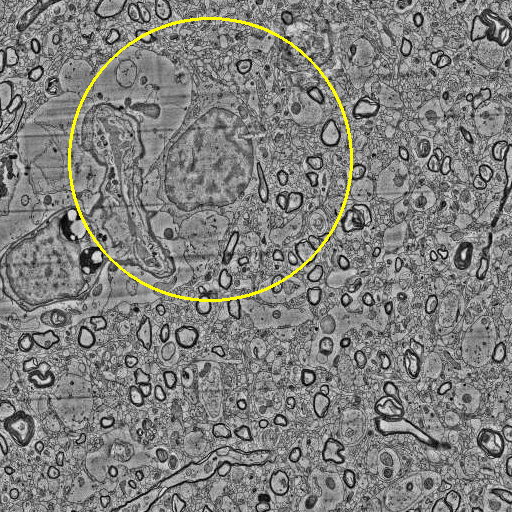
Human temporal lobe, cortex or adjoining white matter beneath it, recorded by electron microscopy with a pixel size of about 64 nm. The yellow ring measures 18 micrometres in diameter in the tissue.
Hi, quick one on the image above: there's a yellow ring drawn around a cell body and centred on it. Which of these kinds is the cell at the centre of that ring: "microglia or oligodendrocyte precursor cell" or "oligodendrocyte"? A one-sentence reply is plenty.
The cell at the centre of the ring is an oligodendrocyte.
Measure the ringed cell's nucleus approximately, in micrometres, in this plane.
In this plane the nucleus spans approximately 7 by 6 micrometers.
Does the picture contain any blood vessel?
Yes, one appears.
